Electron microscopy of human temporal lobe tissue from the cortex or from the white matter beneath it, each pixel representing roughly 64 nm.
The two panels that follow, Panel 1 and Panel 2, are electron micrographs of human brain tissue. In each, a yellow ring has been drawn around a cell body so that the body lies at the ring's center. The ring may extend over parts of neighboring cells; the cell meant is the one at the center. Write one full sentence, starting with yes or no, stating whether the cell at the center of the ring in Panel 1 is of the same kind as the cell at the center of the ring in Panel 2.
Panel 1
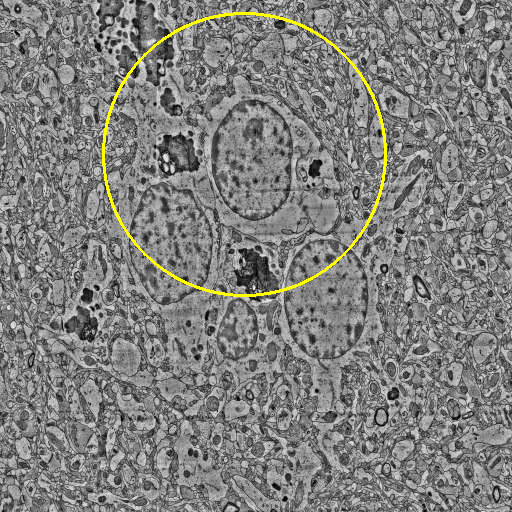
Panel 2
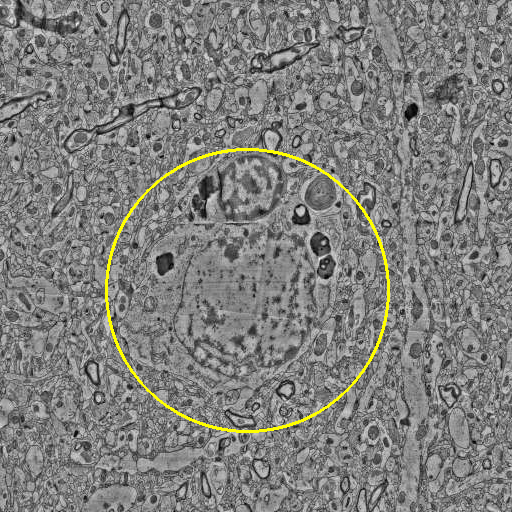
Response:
No, the cells in the two panels are of two kinds.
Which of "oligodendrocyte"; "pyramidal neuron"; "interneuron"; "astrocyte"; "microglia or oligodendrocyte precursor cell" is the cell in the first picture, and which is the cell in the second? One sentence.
The two differ: the first cell is an astrocyte and the second is an interneuron.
